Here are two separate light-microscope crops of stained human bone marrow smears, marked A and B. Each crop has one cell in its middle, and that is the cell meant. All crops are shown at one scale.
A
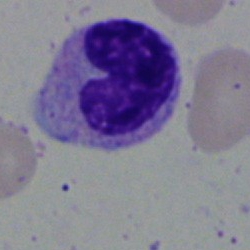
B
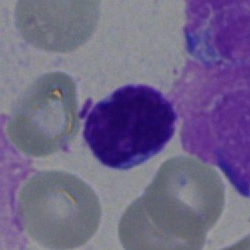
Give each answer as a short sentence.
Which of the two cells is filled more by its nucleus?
It is the cell in picture B that is filled more by its nucleus.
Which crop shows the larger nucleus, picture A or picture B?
The nucleus in picture A is larger, with about 1.5 times the area of the one in picture B.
